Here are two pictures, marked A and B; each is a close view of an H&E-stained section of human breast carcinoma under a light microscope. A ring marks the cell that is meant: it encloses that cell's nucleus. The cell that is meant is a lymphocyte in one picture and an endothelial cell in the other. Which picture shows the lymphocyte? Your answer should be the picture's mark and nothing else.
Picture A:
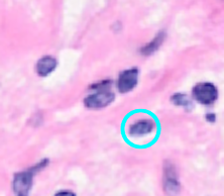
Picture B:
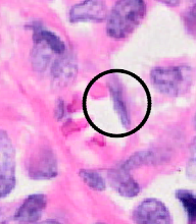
A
